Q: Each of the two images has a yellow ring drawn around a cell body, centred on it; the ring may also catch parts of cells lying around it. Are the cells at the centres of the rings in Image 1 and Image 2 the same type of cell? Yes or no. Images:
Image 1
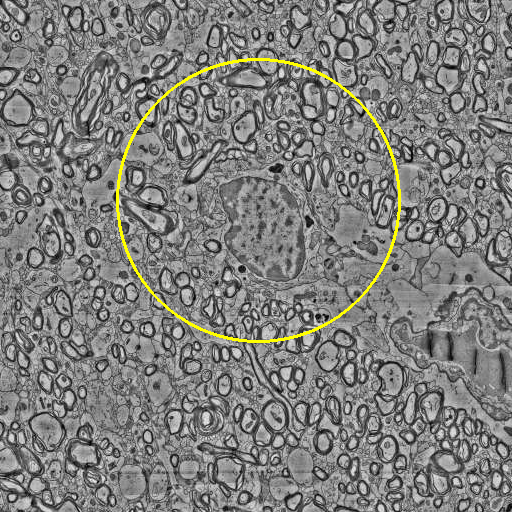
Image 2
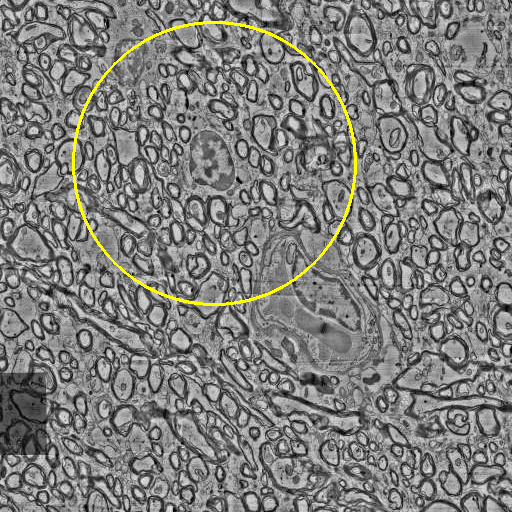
yes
